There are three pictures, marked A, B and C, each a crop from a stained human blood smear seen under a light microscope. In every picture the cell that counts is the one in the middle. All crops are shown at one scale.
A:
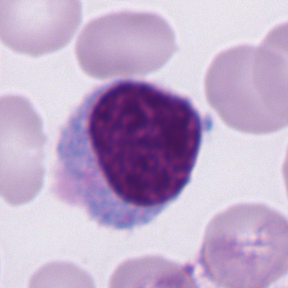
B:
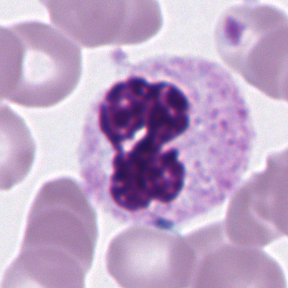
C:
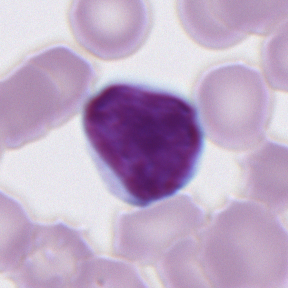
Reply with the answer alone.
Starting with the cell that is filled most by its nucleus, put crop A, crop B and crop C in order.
C, A, B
